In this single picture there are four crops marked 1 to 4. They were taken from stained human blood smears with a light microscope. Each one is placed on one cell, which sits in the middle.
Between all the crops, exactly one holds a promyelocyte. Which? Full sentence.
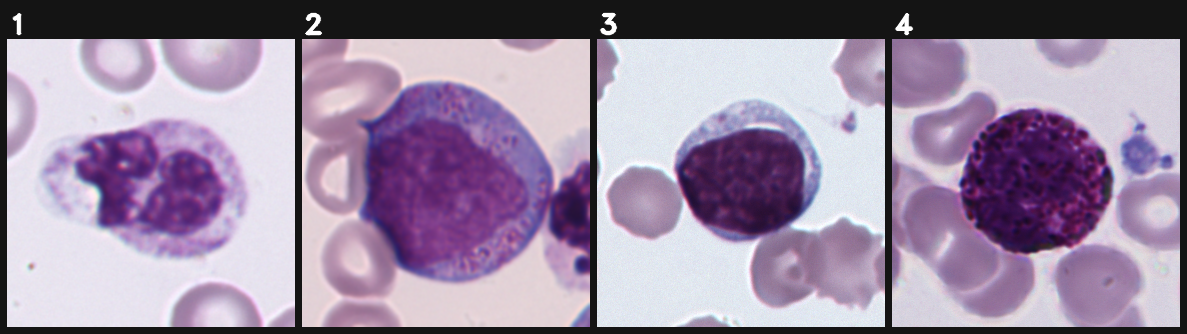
The crop carrying a promyelocyte at the center is crop 2.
